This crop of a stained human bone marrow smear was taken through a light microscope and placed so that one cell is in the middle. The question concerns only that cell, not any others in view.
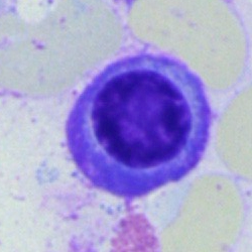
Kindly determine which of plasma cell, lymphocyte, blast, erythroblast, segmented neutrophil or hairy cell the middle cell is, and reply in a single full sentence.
The middle of this crop holds a plasma cell.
